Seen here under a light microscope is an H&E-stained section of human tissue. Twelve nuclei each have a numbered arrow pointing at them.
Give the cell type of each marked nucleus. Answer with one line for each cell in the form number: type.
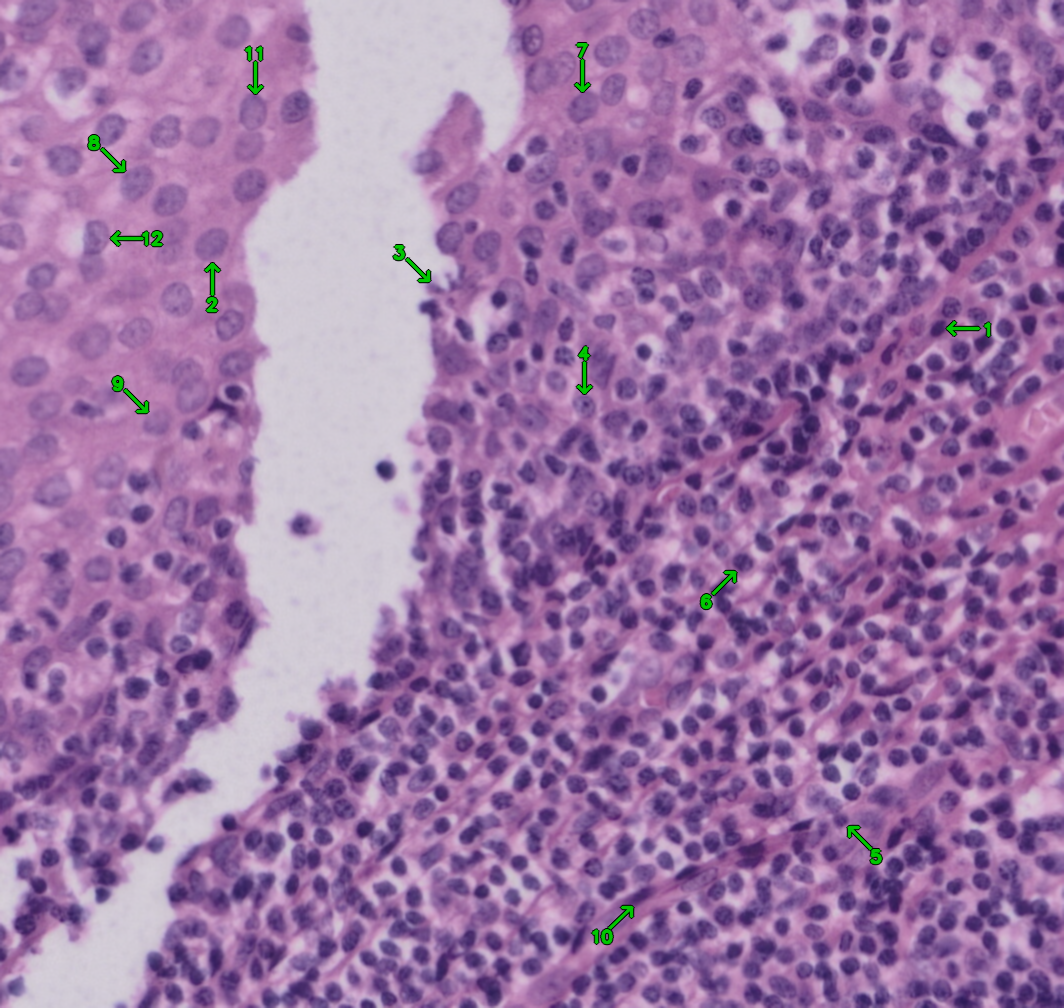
1: plasma cell
2: squamous epithelial cell
3: squamous epithelial cell
4: plasma cell
5: endothelial cell
6: plasma cell
7: squamous epithelial cell
8: squamous epithelial cell
9: squamous epithelial cell
10: endothelial cell
11: squamous epithelial cell
12: squamous epithelial cell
